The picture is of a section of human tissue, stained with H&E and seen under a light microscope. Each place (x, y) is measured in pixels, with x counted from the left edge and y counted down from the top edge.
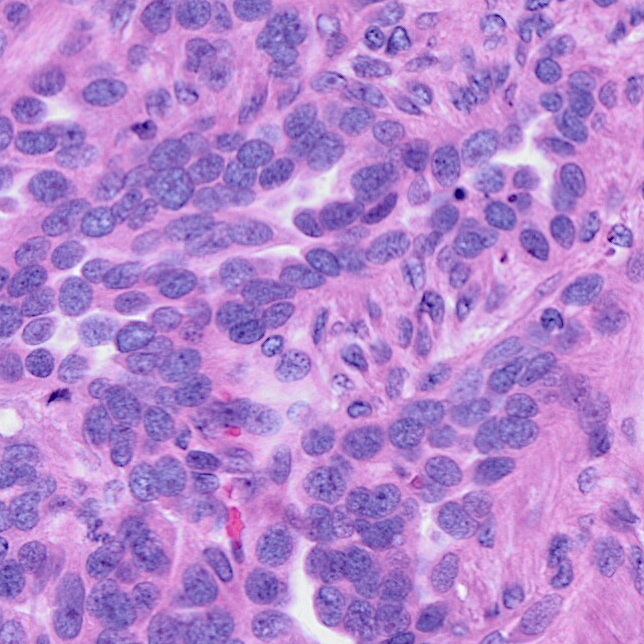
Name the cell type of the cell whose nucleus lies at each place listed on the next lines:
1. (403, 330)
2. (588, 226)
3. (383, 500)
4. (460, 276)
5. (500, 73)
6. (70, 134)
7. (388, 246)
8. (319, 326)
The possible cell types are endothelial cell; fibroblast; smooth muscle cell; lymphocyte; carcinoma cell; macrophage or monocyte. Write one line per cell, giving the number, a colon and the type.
1: fibroblast
2: fibroblast
3: carcinoma cell
4: fibroblast
5: fibroblast
6: carcinoma cell
7: carcinoma cell
8: fibroblast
